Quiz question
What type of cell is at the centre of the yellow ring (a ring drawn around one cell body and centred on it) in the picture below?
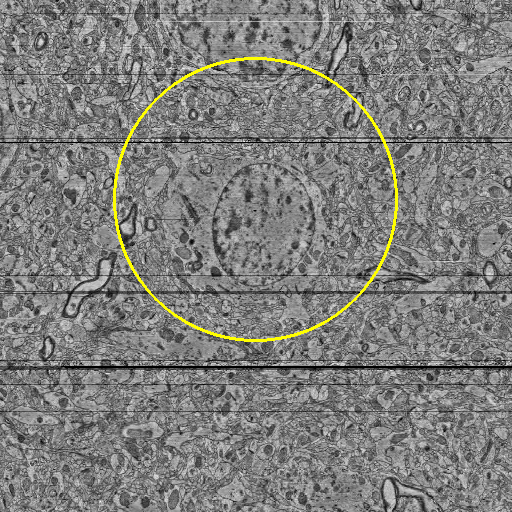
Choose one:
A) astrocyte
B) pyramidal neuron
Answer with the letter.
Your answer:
A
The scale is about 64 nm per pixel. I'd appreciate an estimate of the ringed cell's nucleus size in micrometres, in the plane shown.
In this plane, the nucleus of the cell at the centre of the ring measures about 9 by 6 micrometres.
